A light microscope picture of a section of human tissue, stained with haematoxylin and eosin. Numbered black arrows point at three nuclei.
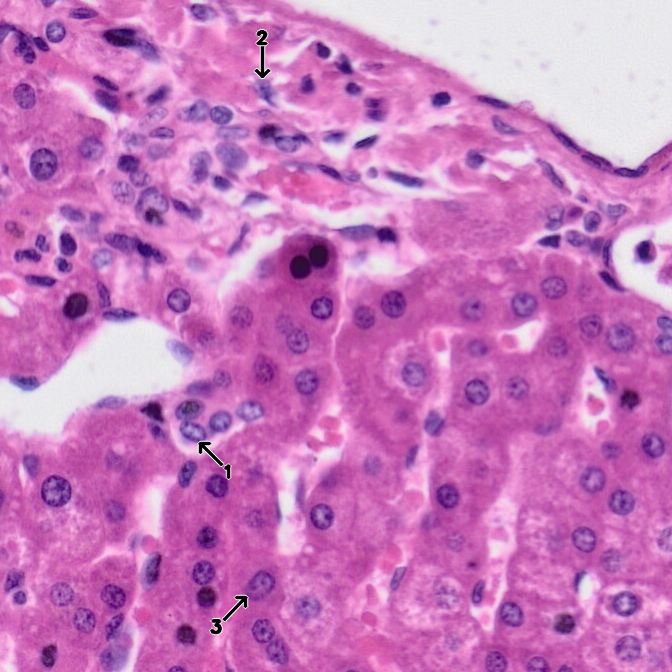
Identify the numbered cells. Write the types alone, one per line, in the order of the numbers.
cholangiocyte
fibroblast or stellate cell
hepatocyte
